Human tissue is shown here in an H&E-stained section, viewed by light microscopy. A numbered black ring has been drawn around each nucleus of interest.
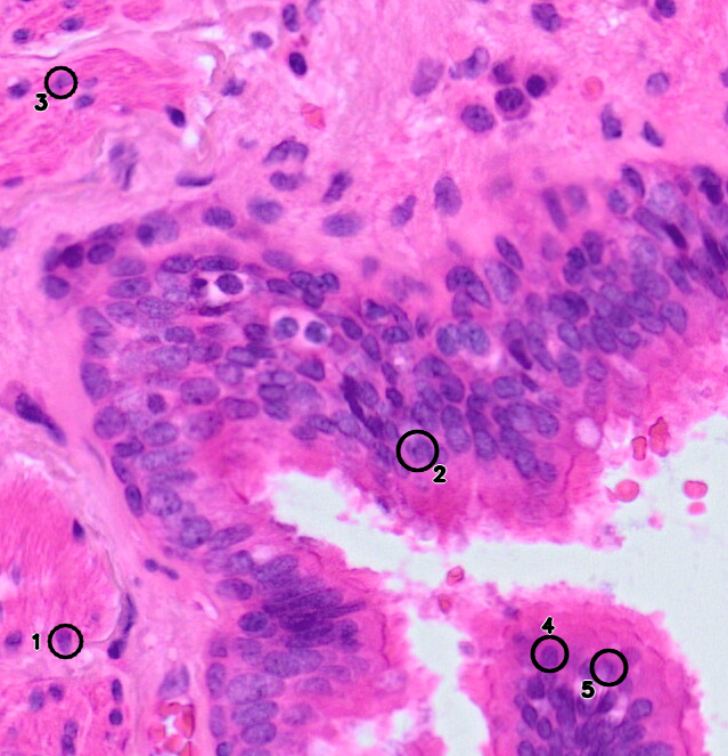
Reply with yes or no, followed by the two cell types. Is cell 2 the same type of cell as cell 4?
Yes, sure, cells 2 and 4 are both ciliated epithelial cells.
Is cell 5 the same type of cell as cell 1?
No, cell 5 is a ciliated epithelial cell, and cell 1, in contrast, is a smooth muscle cell or pericyte.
